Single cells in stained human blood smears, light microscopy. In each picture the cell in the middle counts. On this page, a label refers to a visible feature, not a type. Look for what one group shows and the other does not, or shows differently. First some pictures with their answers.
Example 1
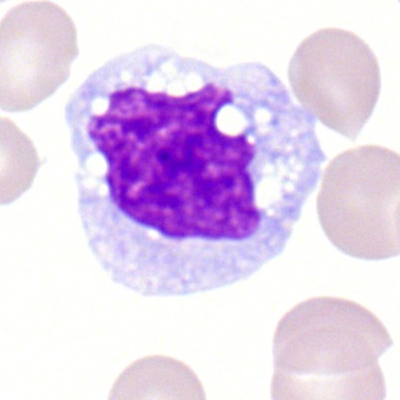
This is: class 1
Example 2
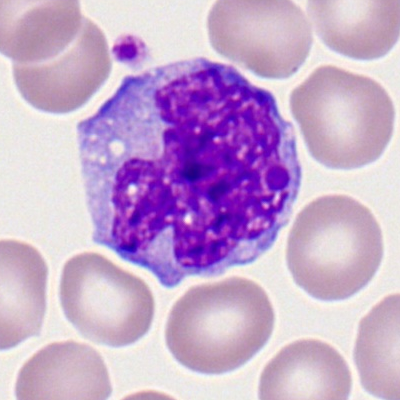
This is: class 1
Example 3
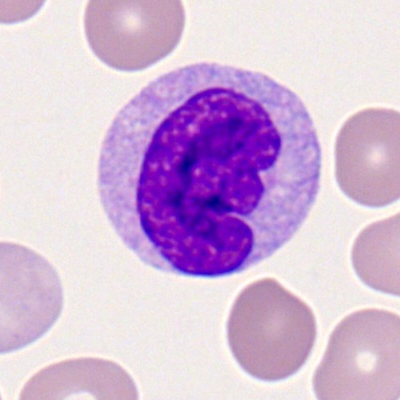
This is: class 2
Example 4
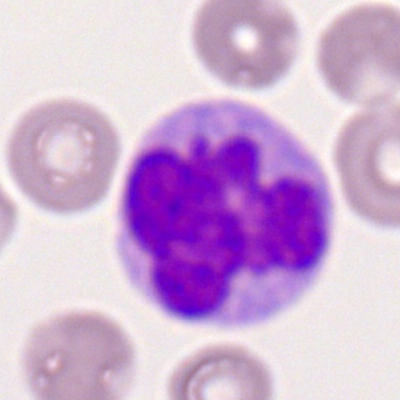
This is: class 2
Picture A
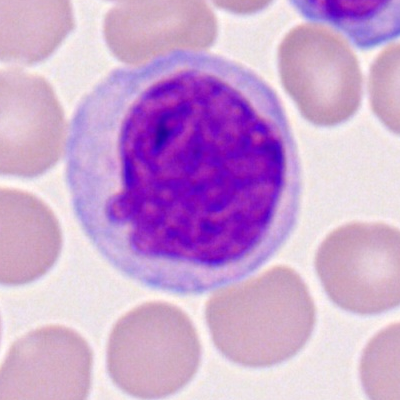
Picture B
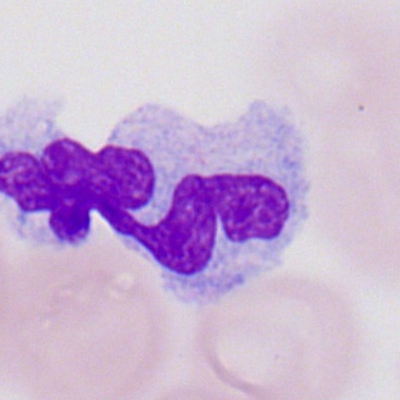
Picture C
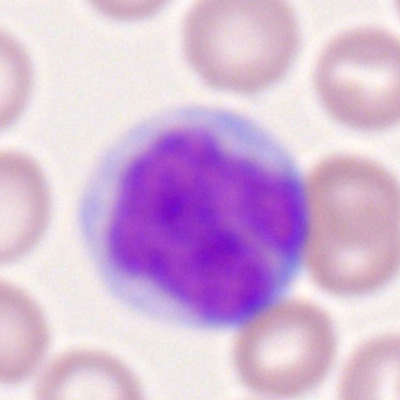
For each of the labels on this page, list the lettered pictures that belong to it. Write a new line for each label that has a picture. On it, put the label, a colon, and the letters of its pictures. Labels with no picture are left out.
class 2: A, B, C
